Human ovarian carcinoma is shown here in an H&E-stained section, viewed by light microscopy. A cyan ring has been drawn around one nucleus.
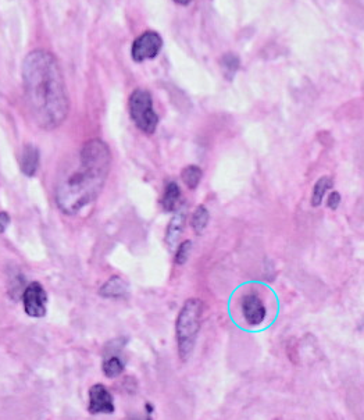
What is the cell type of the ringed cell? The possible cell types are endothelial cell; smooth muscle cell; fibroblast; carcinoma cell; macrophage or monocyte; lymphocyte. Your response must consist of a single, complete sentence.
In the tissue under study, the ringed cell is a lymphocyte.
